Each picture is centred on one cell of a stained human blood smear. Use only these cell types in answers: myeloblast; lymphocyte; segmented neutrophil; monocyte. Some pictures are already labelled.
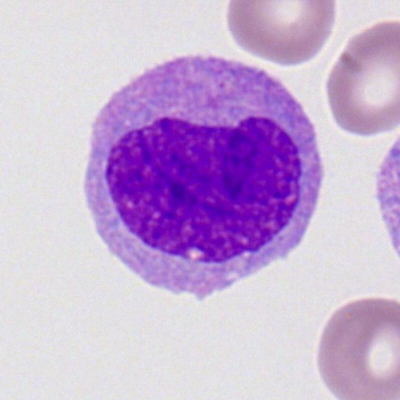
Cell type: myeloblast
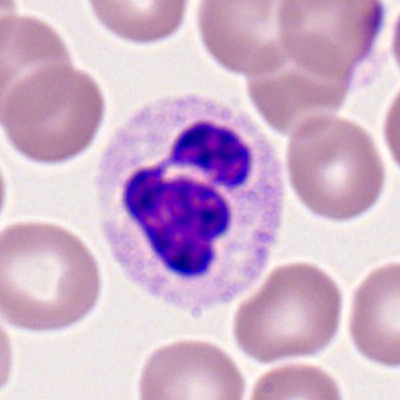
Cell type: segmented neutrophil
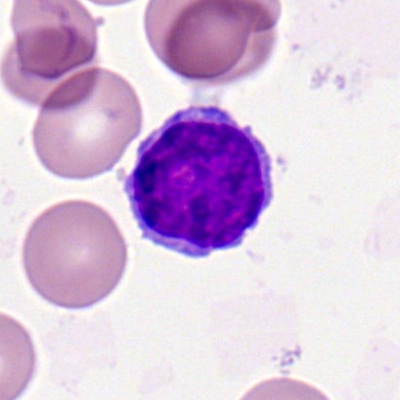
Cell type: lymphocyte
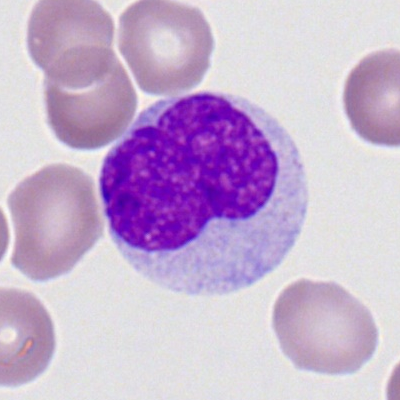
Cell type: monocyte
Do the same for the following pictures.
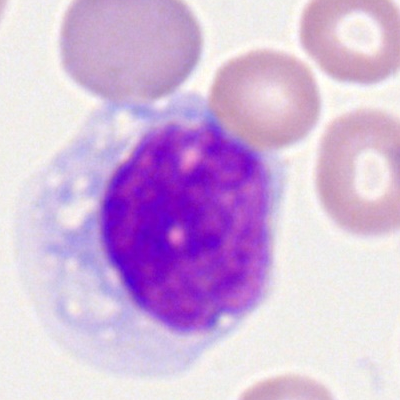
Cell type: monocyte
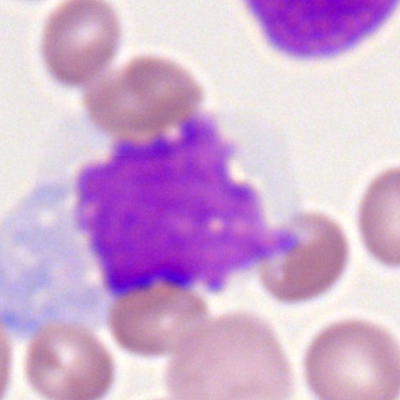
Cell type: monocyte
